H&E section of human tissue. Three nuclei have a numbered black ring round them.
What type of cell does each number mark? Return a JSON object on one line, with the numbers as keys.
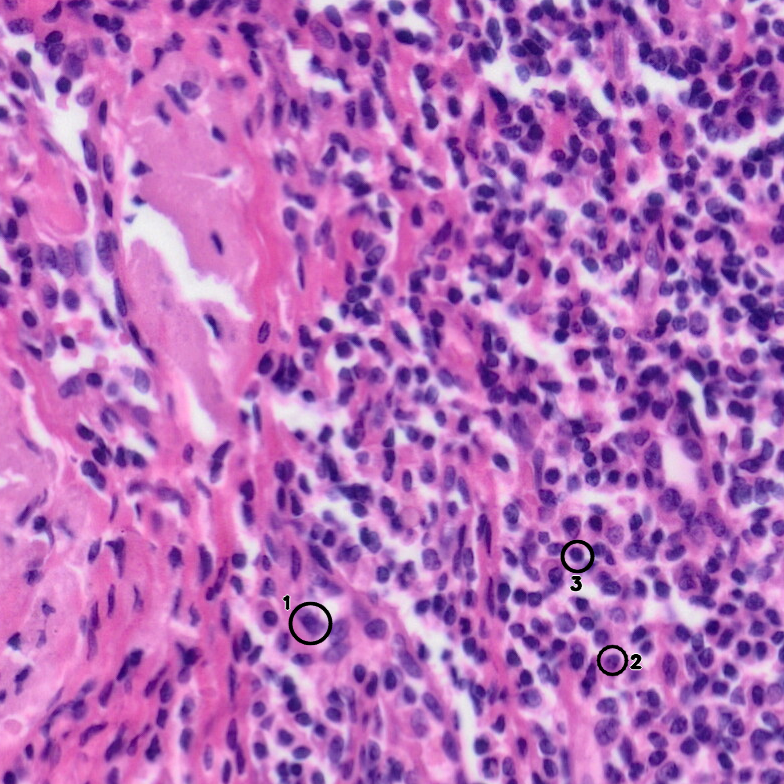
{"1": "endothelial cell", "2": "plasma cell", "3": "small lymphocyte"}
